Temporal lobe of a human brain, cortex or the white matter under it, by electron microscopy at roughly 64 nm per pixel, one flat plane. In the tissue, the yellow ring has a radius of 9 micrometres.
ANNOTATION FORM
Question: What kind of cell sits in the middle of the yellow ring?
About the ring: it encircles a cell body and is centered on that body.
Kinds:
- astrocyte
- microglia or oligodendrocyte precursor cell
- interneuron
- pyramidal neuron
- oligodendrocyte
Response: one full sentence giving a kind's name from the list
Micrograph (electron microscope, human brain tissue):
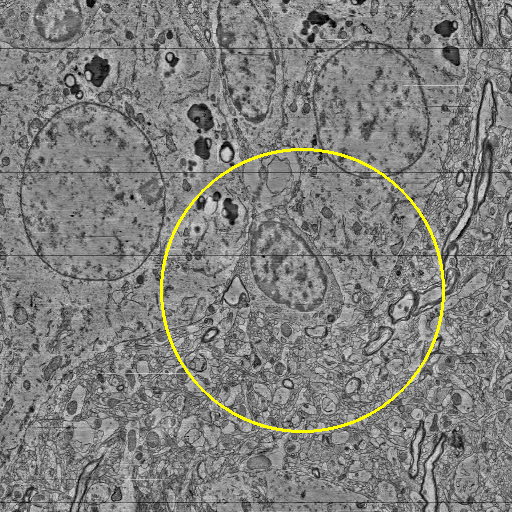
The kind of cell found at the center of the yellow ring in the micrograph is an oligodendrocyte.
